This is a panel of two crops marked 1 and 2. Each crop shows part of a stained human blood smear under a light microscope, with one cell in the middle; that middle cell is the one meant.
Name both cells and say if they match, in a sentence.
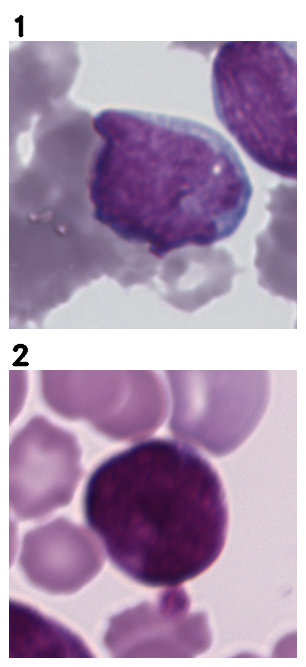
Yes, the cells placed at the centre of both crops are myeloblasts.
